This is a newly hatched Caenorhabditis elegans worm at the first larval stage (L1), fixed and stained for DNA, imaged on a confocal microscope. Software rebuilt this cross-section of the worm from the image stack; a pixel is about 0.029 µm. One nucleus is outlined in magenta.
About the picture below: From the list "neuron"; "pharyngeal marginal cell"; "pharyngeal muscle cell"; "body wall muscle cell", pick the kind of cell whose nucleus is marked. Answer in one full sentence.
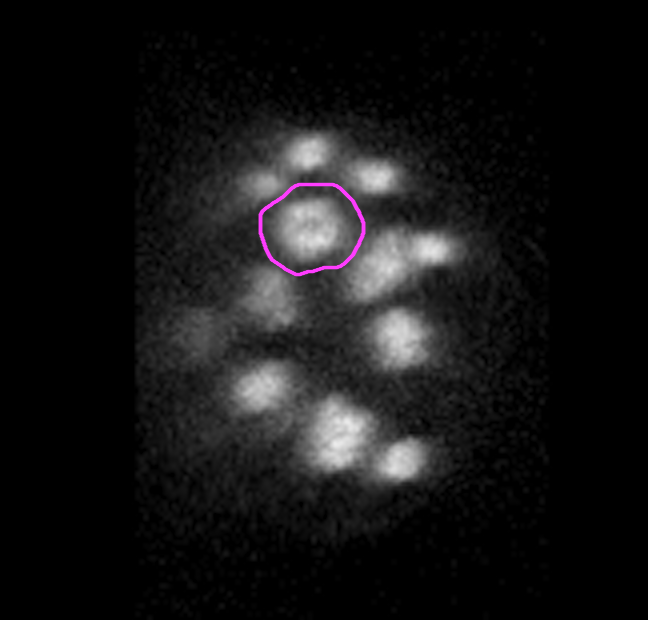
This nucleus is from a pharyngeal marginal cell.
